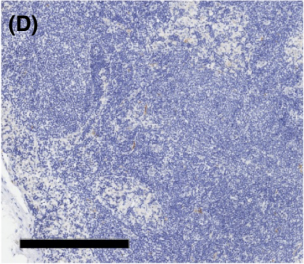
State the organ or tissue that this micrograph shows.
Lymph node.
